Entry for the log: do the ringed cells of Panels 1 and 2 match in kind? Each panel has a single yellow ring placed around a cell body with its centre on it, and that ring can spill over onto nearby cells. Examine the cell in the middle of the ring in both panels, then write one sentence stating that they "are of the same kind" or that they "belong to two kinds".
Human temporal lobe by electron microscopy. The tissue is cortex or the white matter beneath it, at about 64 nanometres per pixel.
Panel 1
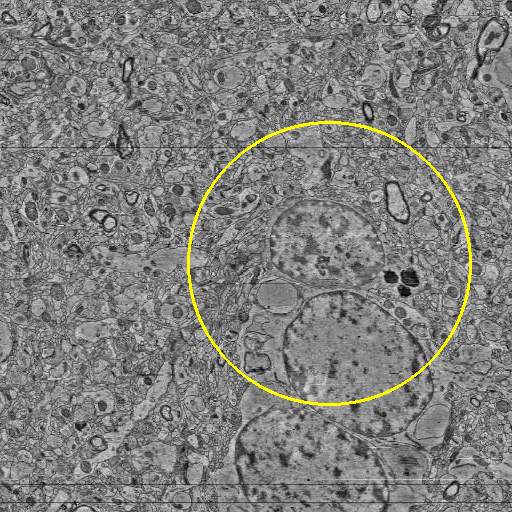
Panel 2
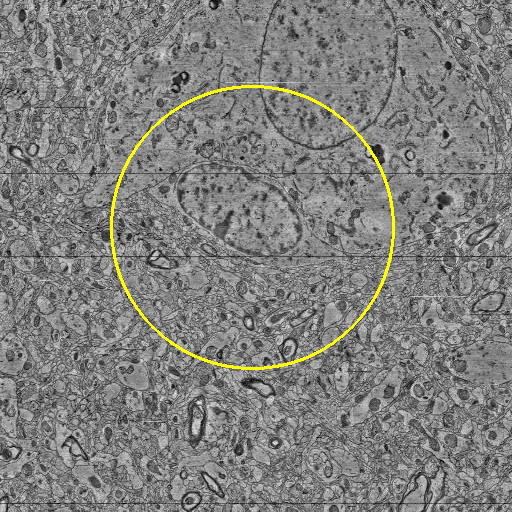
The centre cell of Panel 1's ring and that of Panel 2's ring belong to two kinds.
